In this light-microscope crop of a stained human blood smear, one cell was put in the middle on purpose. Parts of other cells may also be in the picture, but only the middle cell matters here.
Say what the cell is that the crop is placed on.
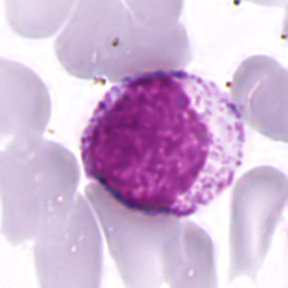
myelocyte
